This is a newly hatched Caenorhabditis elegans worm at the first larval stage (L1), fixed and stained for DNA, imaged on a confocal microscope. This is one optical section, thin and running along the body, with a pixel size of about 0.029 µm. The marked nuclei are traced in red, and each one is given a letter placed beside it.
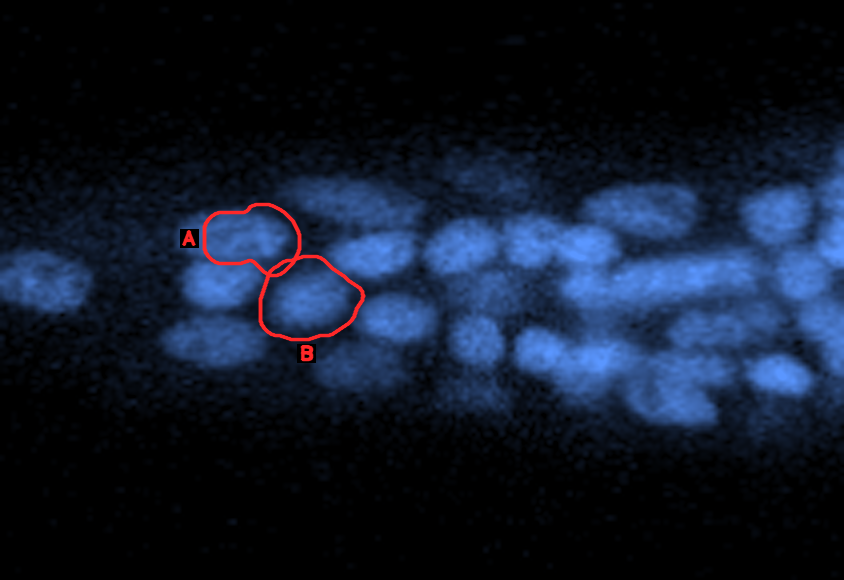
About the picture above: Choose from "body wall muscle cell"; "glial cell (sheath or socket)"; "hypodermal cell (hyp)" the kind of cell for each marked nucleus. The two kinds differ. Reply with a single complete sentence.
One is from a body wall muscle cell, namely A, and the other, B, is from a hypodermal cell (hyp).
